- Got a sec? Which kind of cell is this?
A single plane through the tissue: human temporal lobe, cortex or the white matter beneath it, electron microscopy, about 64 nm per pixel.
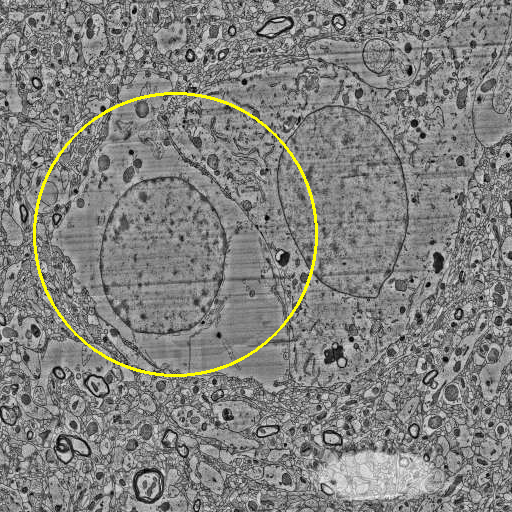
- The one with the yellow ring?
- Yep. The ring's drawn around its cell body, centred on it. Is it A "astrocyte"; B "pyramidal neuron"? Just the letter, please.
A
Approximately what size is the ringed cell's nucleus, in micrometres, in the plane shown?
Roughly 10 micrometres by 8 micrometres, in this plane.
